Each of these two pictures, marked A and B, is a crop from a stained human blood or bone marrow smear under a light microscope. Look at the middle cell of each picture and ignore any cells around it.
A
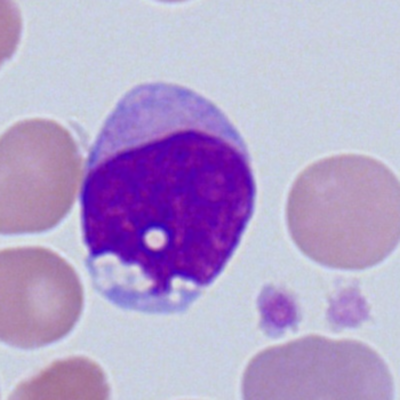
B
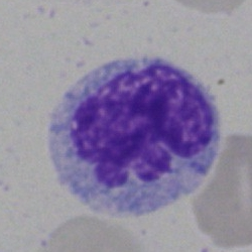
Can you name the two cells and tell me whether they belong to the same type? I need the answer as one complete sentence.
No, crop A shows a blast and crop B shows a monocyte.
